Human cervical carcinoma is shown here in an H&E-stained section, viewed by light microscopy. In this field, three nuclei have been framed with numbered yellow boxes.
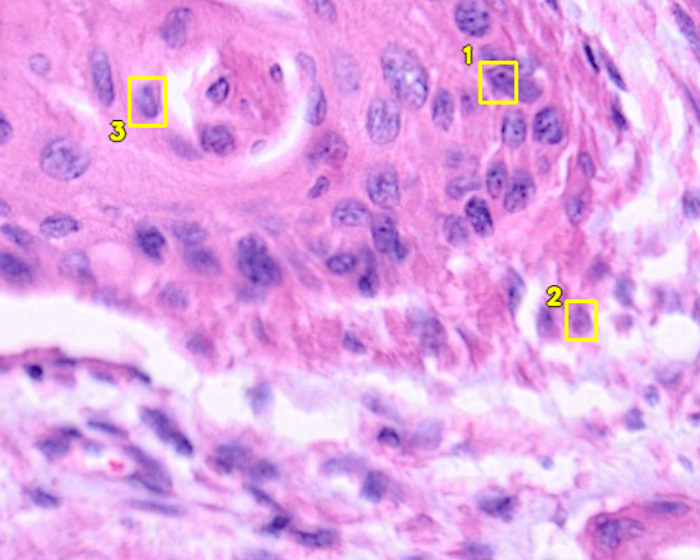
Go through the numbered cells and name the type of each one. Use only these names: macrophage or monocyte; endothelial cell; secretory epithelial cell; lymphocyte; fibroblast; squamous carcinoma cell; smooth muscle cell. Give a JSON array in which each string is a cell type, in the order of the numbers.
["squamous carcinoma cell", "fibroblast", "squamous carcinoma cell"]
